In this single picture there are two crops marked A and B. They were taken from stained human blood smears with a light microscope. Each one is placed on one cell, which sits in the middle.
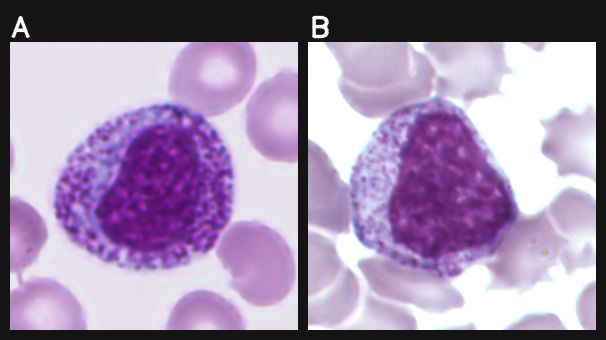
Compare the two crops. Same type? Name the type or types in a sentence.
Yes, in short, both crops show myelocytes.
